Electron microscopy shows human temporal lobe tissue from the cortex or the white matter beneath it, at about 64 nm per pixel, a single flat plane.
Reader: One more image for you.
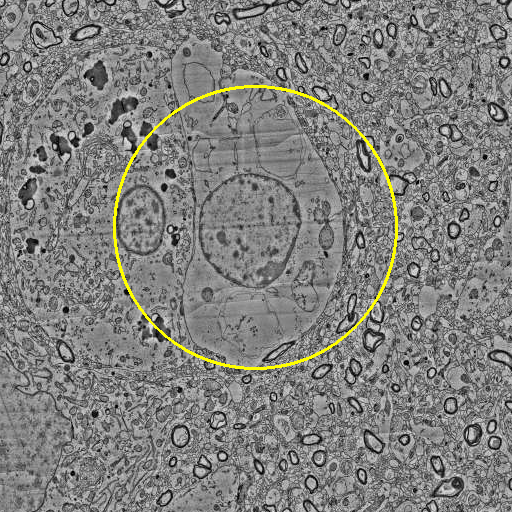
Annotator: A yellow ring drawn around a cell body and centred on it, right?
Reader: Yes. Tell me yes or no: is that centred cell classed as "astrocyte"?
yes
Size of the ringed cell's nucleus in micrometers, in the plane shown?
The nucleus is about 7 micrometres across in this plane.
